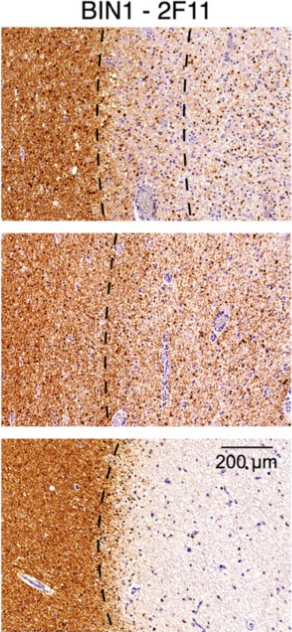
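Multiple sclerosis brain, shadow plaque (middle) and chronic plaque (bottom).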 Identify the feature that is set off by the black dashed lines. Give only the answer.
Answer: lesion border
